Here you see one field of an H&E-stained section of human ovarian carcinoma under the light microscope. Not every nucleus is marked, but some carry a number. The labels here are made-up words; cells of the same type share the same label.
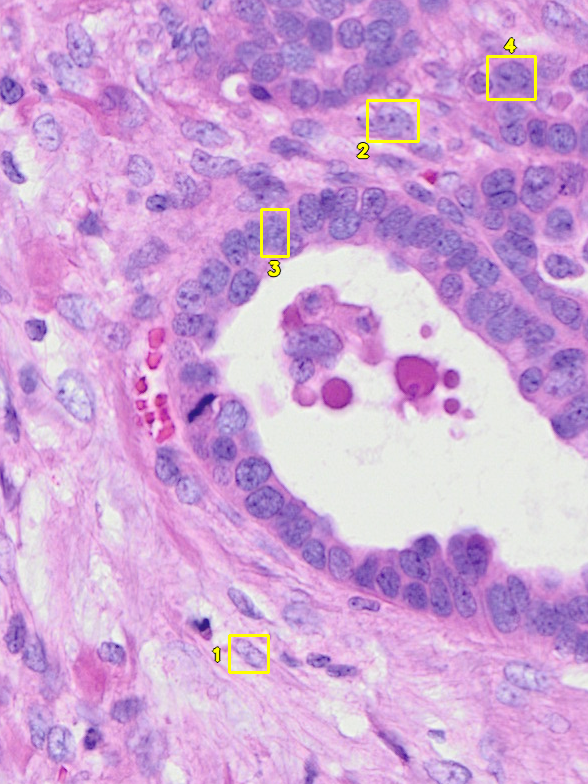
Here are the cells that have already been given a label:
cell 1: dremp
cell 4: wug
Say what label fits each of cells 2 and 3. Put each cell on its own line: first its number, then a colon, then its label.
2: dremp
3: wug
